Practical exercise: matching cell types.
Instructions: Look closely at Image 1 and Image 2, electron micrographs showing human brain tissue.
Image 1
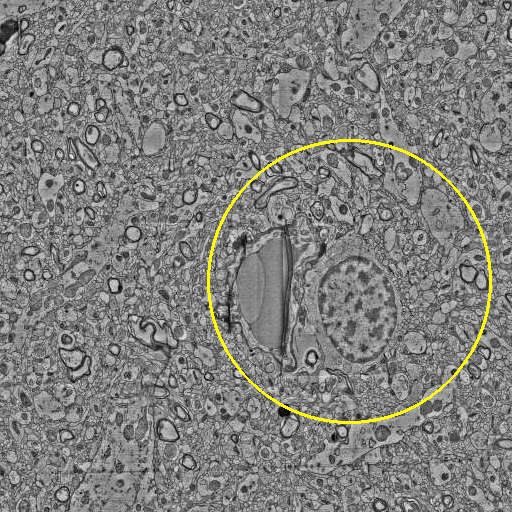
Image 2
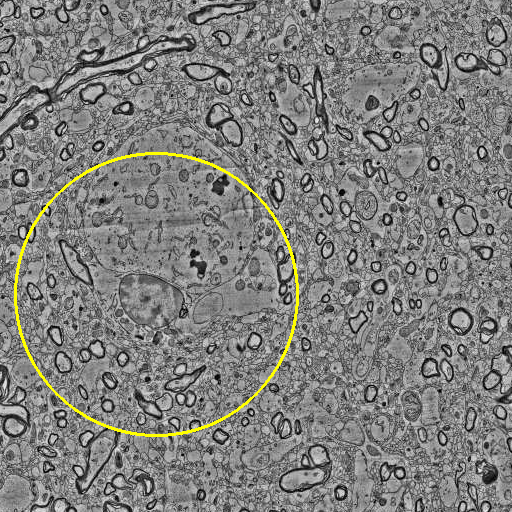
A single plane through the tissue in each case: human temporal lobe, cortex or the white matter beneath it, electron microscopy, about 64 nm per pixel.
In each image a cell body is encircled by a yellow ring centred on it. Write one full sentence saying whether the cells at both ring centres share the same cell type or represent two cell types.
Across Image 1 and Image 2, the cells at the ring centres represent two cell types.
